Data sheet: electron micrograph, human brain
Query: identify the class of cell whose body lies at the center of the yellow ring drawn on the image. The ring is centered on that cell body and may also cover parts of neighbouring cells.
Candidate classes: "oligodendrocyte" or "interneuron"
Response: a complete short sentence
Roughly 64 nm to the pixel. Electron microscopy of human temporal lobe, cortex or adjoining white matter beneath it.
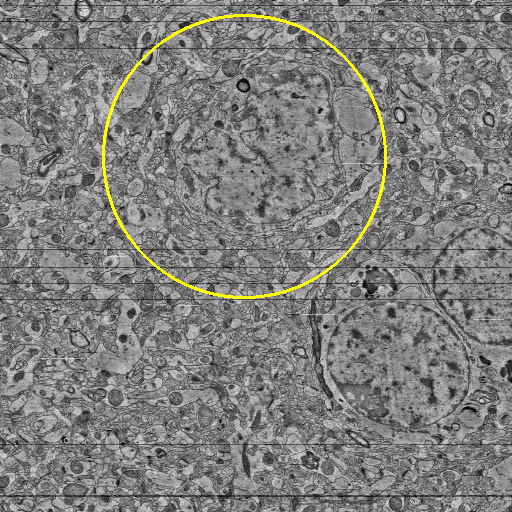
At the center of the ring lies an interneuron.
